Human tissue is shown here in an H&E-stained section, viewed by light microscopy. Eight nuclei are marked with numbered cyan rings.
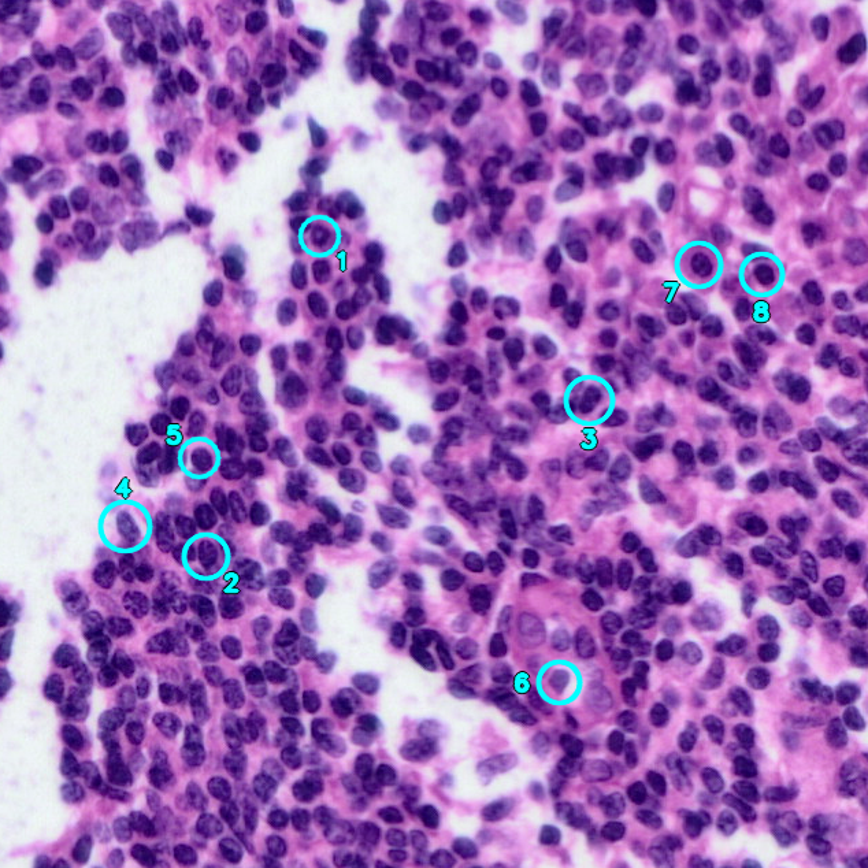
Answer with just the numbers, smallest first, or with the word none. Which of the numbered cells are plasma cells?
7, 8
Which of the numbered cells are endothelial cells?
6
